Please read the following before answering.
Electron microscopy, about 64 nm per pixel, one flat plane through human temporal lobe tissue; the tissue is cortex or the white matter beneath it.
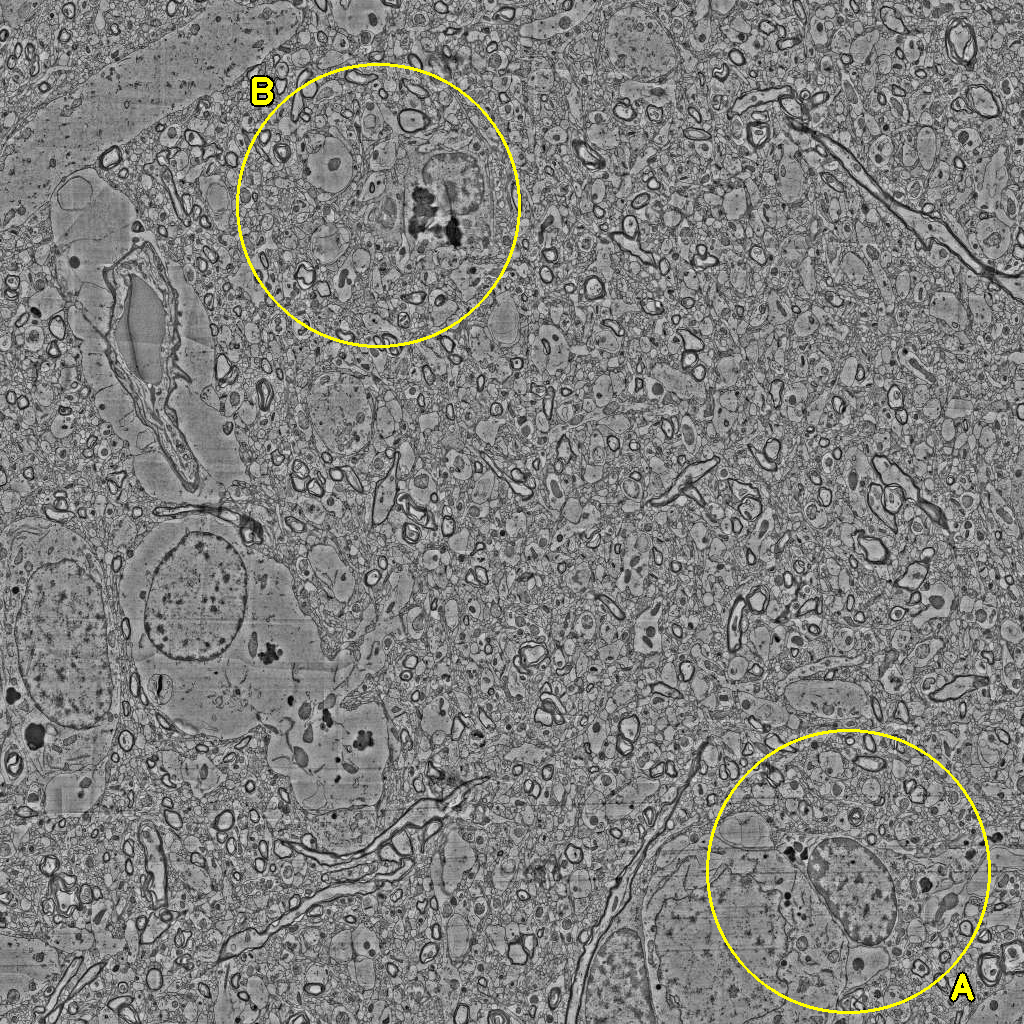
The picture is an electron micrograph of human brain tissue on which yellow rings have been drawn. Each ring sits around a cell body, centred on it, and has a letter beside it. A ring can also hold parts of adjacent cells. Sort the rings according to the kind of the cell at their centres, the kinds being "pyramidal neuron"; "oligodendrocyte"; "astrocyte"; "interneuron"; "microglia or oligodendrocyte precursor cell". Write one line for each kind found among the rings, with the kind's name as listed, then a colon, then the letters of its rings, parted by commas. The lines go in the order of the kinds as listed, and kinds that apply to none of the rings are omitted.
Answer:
oligodendrocyte: B
microglia or oligodendrocyte precursor cell: A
